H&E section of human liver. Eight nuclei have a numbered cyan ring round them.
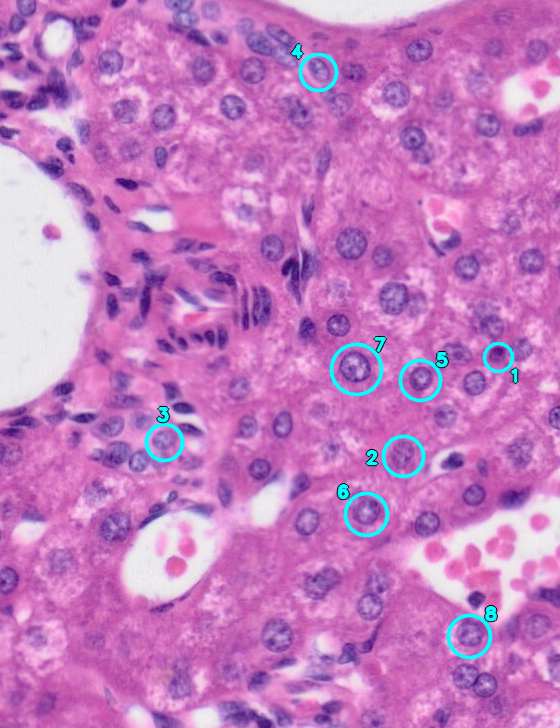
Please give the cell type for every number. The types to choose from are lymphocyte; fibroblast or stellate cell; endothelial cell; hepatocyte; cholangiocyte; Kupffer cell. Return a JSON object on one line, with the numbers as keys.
{"1": "fibroblast or stellate cell", "2": "hepatocyte", "3": "cholangiocyte", "4": "cholangiocyte", "5": "hepatocyte", "6": "hepatocyte", "7": "hepatocyte", "8": "hepatocyte"}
